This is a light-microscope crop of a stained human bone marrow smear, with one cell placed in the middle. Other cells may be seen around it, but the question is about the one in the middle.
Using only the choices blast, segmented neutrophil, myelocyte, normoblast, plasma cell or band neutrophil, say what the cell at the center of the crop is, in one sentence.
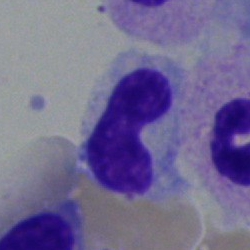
The cell in the middle of the field of view is a band neutrophil.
